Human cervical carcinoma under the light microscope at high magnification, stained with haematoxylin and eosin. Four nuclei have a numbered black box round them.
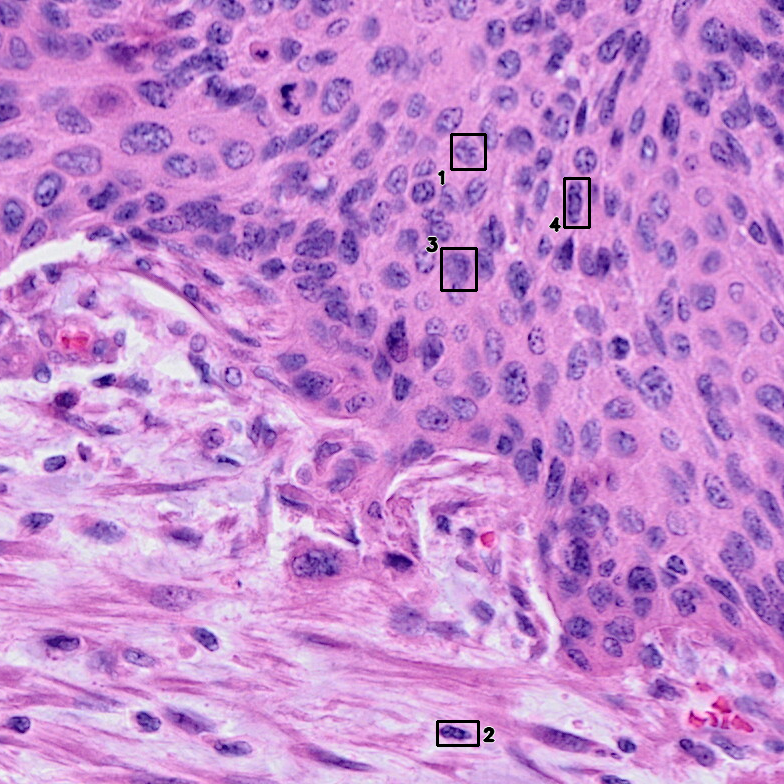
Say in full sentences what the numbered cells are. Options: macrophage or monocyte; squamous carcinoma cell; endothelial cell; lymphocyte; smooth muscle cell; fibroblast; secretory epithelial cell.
Cells 1, 3 and 4 are squamous carcinoma cells. Cell 2 is a lymphocyte.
